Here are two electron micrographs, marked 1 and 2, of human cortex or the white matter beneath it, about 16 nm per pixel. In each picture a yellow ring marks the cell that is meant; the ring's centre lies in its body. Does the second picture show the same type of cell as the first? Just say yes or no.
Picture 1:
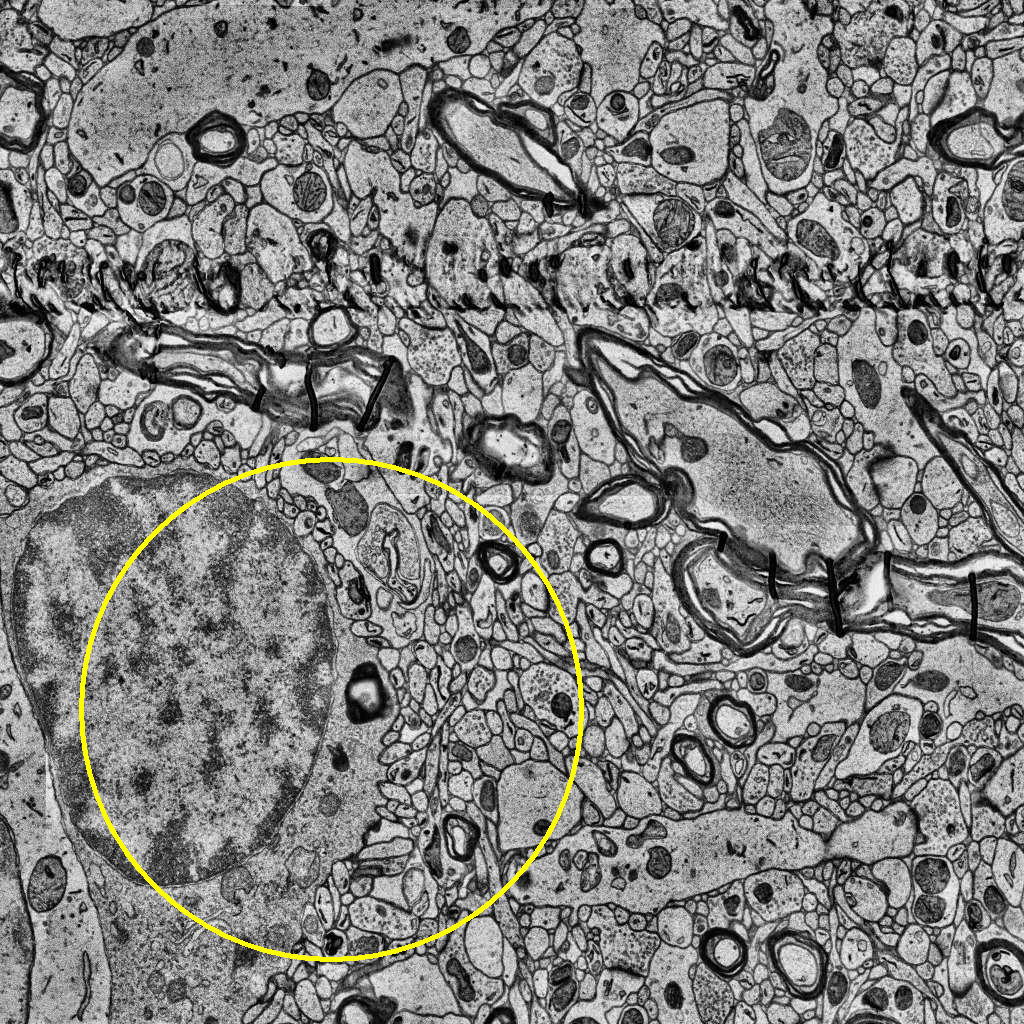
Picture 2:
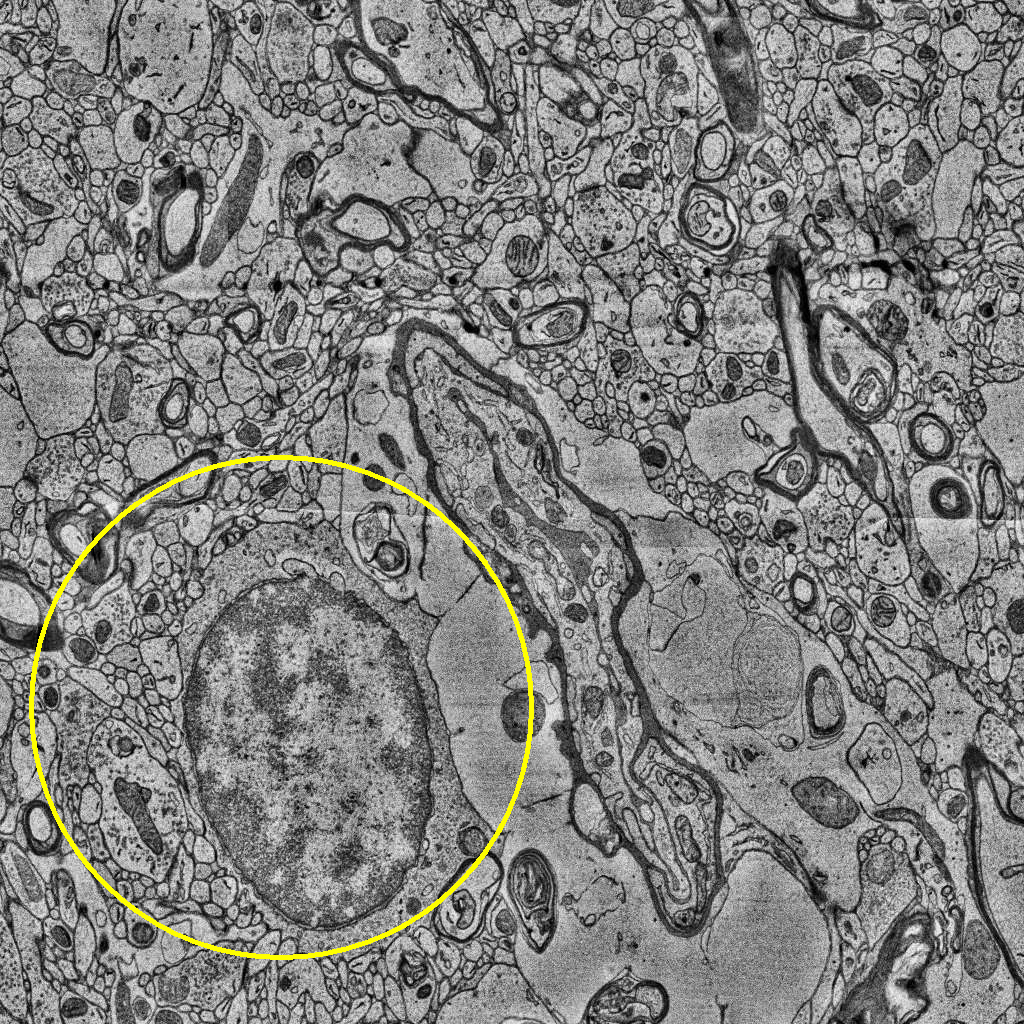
yes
